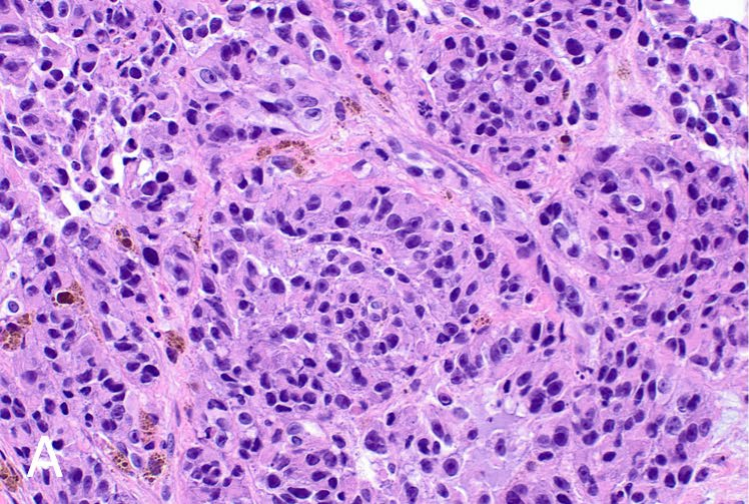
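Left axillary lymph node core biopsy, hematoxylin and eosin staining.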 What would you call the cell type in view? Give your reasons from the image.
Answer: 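Epithelioid cells. Large polygonal cells with ample pink cytoplasm. Cells grouped in rounded nests separated by thin pink fibrous septa. Cells within the nests are loosely attached, with gaps between some of them.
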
